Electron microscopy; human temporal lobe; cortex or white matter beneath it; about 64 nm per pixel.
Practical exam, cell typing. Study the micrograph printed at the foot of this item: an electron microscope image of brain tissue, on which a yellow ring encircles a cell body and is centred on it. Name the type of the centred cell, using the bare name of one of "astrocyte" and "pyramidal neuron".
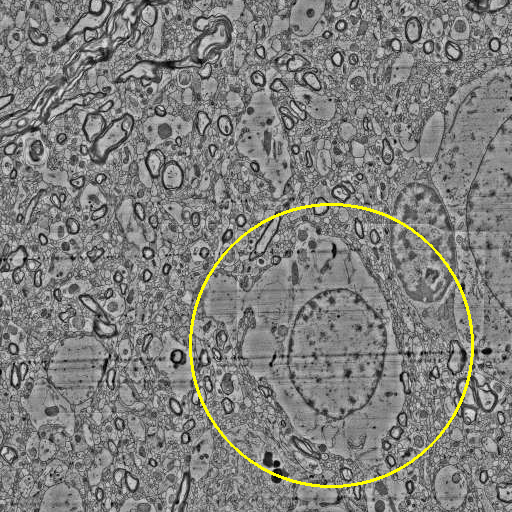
astrocyte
